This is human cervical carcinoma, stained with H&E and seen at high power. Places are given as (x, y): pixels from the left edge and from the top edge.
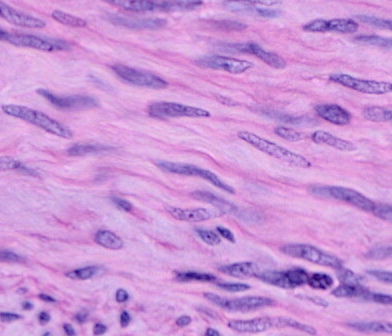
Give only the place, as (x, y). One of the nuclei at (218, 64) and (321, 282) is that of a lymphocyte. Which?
(321, 282)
